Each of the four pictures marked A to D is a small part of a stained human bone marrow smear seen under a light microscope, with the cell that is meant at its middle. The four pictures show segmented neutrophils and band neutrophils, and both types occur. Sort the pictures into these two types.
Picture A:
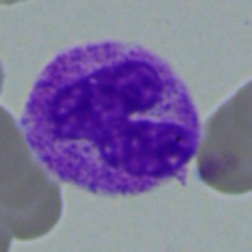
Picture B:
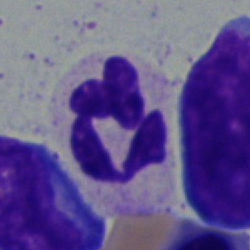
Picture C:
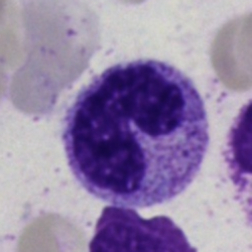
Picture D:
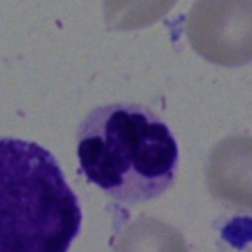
A: band neutrophil
B: segmented neutrophil
C: band neutrophil
D: segmented neutrophil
